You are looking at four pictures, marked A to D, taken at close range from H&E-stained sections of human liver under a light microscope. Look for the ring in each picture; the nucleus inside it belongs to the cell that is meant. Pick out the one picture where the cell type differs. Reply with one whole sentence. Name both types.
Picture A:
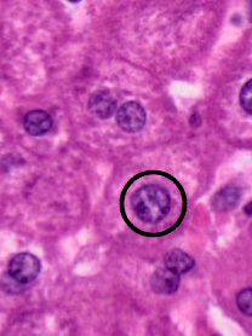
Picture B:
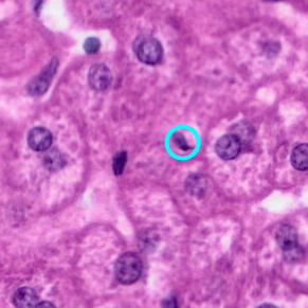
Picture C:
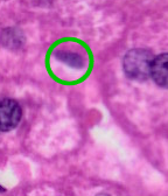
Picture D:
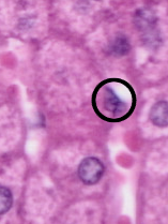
All pictures except A show endothelial cells; picture A shows a hepatocyte.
